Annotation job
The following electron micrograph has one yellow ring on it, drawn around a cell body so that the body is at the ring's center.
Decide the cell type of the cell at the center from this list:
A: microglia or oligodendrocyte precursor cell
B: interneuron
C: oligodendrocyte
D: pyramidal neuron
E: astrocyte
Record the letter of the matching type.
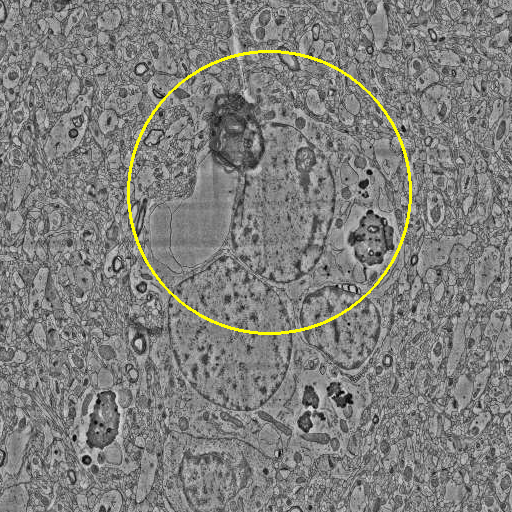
E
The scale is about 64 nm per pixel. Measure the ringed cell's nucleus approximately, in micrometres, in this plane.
In this plane the nucleus is roughly 10 by 7 micrometres, clearly longer than it is wide.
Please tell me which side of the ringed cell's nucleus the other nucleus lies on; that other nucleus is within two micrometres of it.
The other nucleus is located to the lower left of it.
